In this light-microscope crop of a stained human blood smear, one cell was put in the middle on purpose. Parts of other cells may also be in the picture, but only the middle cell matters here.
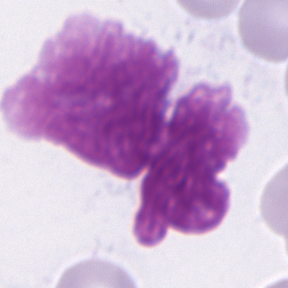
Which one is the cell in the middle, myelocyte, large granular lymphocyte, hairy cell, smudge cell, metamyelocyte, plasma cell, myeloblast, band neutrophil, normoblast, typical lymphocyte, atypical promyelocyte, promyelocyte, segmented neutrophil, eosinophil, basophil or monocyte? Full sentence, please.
Here the centrally located cell is a smudge cell.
